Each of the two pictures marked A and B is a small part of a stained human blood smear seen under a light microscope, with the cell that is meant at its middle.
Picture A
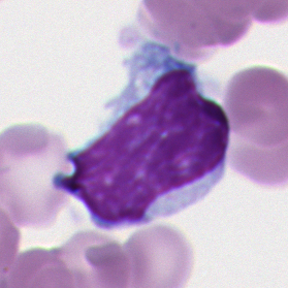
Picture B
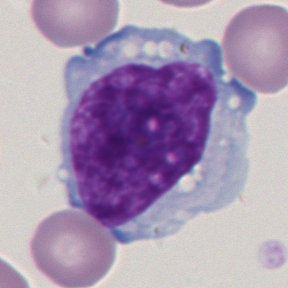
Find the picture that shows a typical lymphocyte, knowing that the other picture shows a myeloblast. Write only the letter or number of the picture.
A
